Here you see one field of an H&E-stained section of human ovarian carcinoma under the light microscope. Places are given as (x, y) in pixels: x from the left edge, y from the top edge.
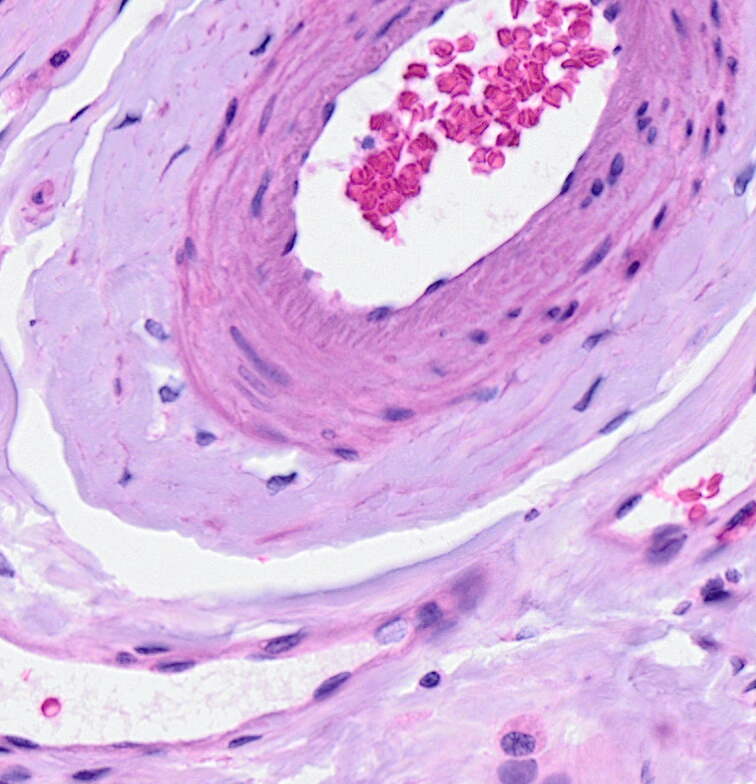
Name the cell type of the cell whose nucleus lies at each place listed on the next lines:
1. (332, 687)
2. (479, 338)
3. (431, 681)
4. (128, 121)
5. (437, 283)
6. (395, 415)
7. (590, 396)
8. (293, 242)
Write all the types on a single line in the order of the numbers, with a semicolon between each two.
endothelial cell; smooth muscle cell; lymphocyte; fibroblast; endothelial cell; smooth muscle cell; fibroblast; endothelial cell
